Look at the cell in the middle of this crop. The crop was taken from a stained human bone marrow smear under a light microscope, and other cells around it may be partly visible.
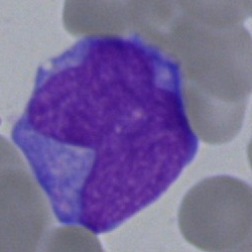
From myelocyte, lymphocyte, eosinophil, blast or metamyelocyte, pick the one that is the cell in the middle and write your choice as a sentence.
The central cell in this smear crop is a blast.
